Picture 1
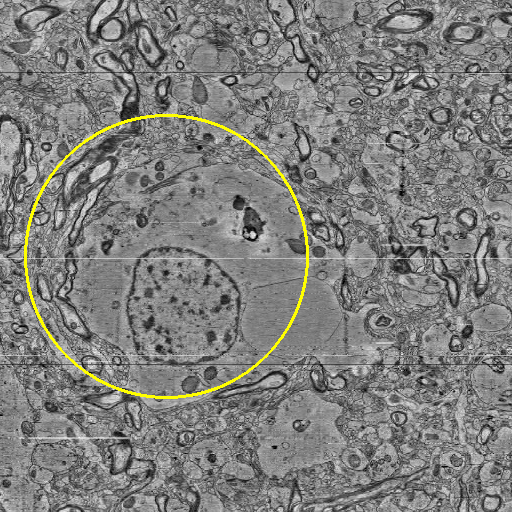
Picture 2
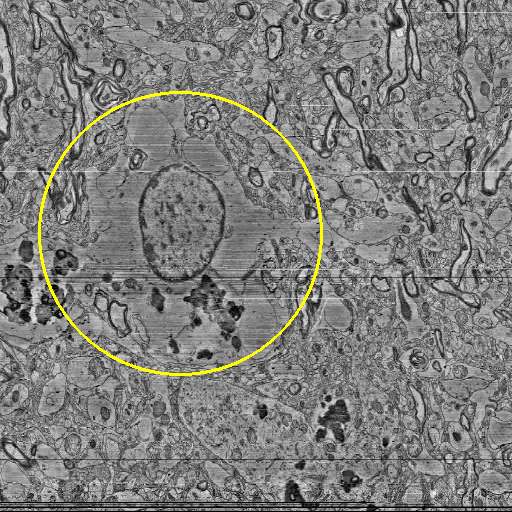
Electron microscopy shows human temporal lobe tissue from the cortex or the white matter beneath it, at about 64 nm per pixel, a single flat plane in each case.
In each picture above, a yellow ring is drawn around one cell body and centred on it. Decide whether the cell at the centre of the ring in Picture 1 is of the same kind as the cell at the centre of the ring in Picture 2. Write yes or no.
yes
